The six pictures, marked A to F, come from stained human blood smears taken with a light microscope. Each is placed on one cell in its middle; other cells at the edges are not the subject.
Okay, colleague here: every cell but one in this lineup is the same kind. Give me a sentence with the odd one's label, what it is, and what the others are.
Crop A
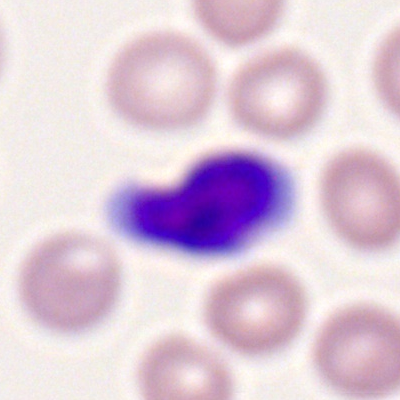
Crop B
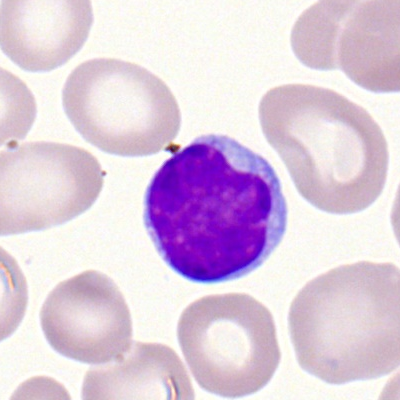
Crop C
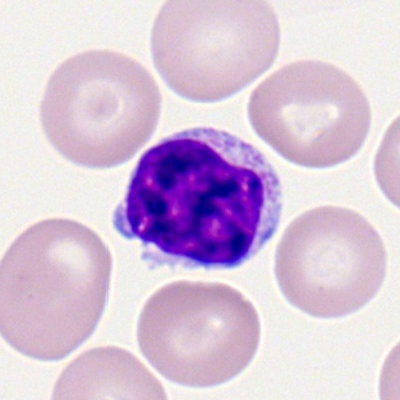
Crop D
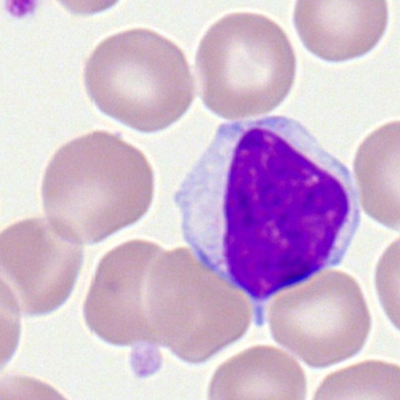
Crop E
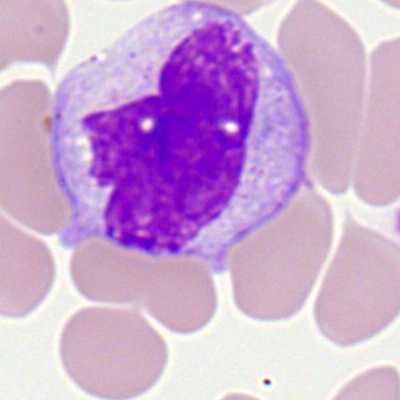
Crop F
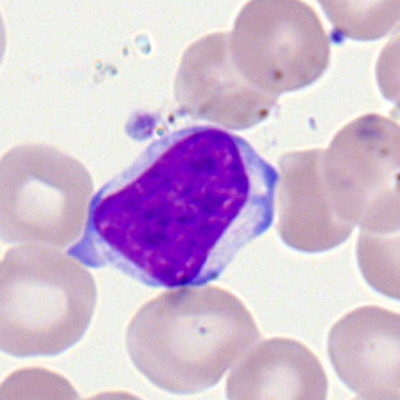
Seen in crop E is a monocyte, and seen in all other crops are lymphocytes.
